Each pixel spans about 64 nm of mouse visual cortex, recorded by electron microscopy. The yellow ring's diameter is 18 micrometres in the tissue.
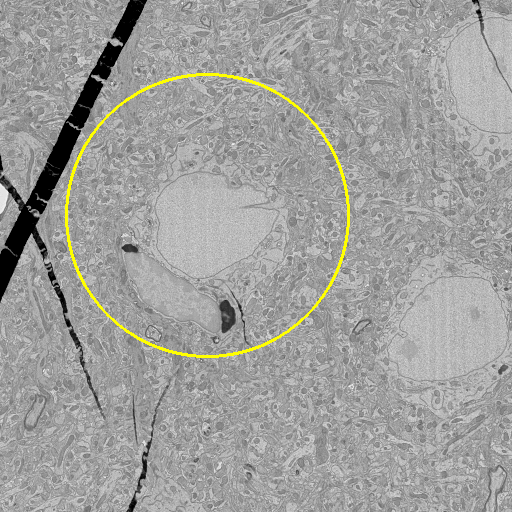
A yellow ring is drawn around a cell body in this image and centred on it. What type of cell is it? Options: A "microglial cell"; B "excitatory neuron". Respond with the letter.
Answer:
B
